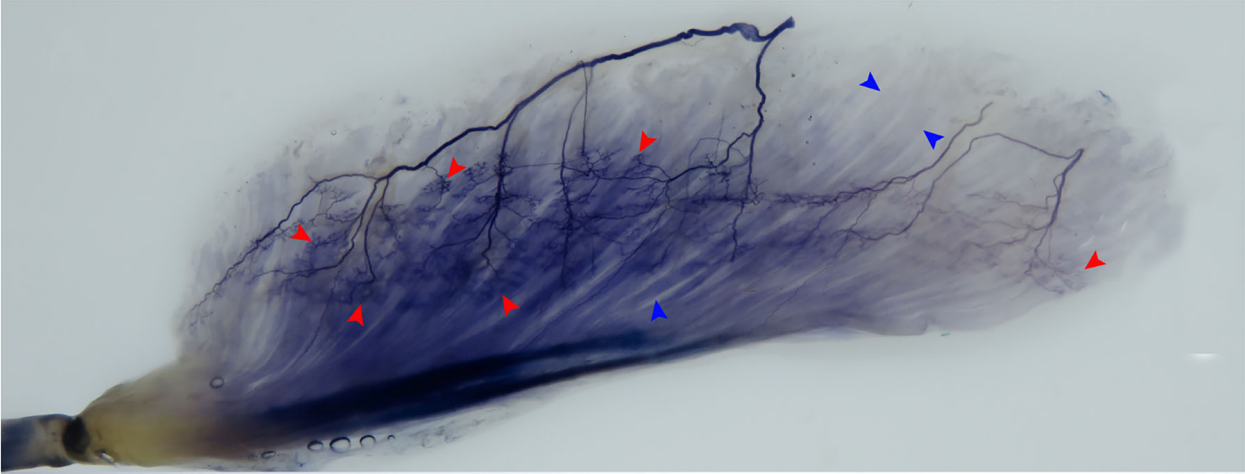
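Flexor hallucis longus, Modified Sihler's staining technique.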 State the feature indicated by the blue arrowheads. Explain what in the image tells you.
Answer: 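Muscle fiber. The blue arrowheads point at pale, parallel streaks running diagonally across the tissue. The streaks are long, unbranched and lie in a common direction, unlike the branching dark lines.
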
